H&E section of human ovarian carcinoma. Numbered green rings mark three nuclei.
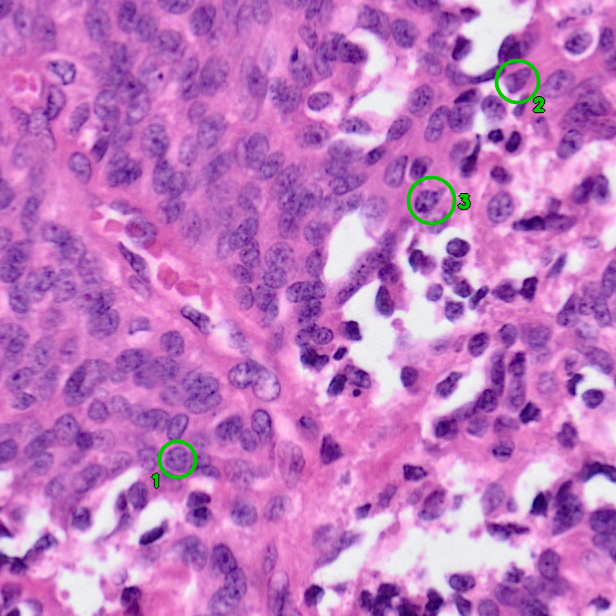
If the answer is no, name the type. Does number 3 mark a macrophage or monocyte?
Yes.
